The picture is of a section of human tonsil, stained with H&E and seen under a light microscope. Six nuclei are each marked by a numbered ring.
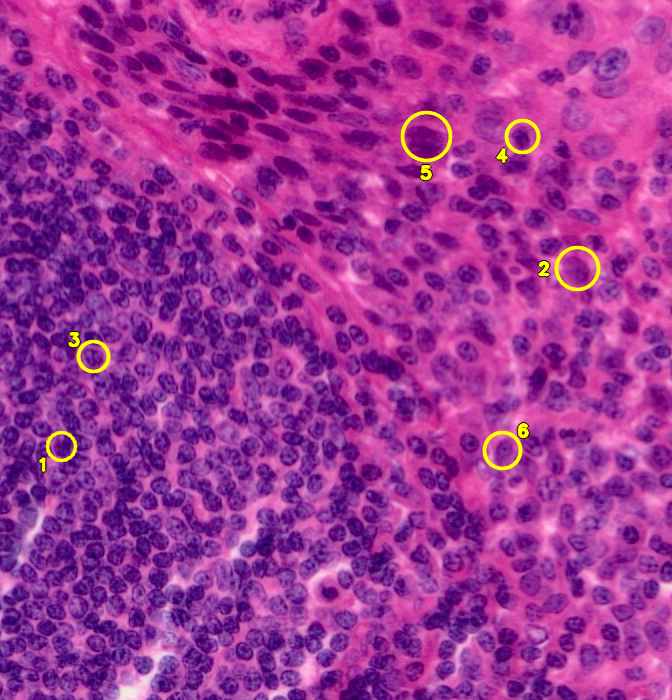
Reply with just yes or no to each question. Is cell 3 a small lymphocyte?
yes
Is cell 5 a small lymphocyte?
no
